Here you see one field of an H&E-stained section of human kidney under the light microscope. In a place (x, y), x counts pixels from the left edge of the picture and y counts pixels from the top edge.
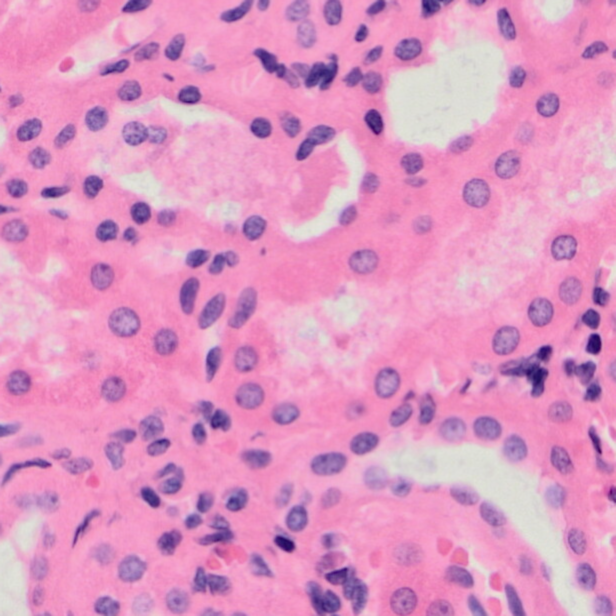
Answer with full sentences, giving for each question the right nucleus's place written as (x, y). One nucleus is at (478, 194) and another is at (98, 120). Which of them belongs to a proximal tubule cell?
The nucleus of a proximal tubule cell is the one found at (478, 194), not the other.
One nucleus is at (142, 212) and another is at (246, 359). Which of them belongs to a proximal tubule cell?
The nucleus at (246, 359), rather than the other one, belongs to a proximal tubule cell.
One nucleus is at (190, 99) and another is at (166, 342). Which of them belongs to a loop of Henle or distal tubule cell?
The member of the pair belonging to a loop of Henle or distal tubule cell is the nucleus at (190, 99).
